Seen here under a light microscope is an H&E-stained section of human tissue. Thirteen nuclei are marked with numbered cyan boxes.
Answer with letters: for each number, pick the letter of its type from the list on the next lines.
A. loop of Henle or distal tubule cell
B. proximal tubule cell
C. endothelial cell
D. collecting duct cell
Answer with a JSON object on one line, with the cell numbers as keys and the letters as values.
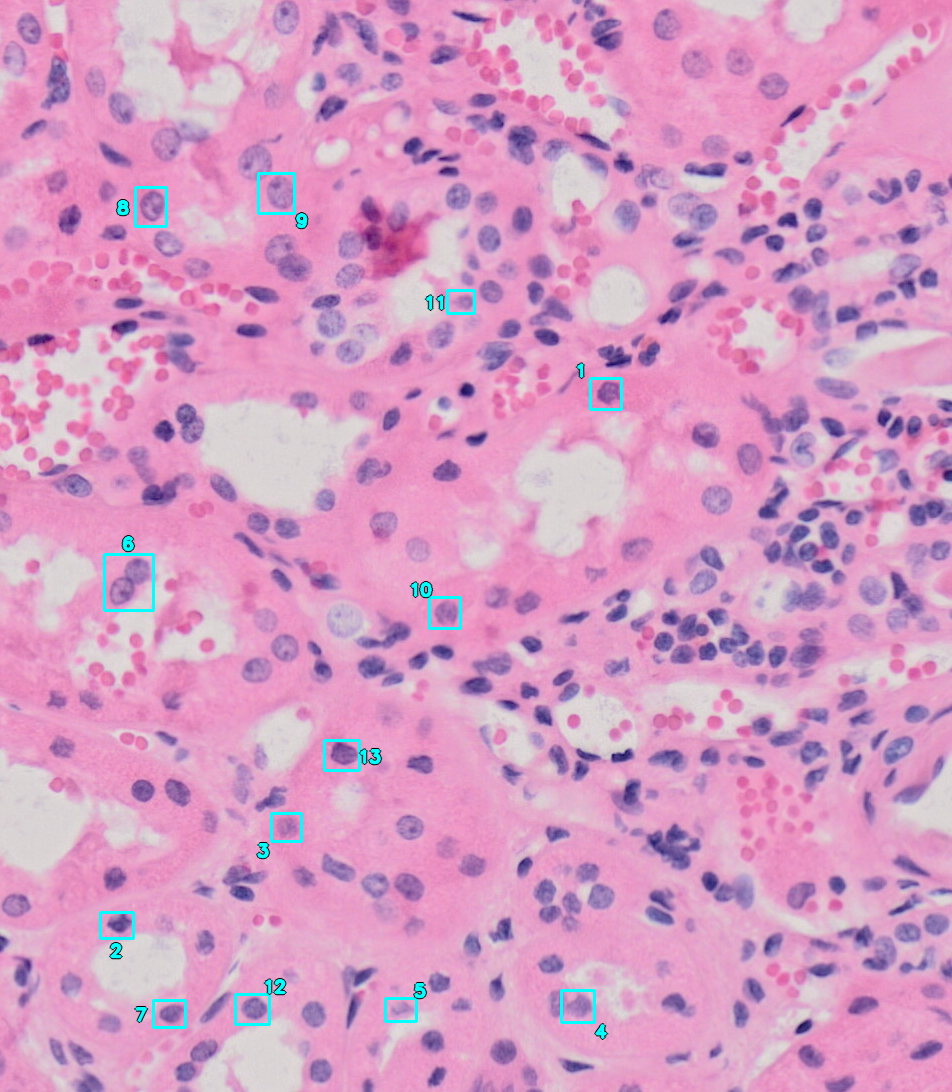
{"1": "B", "2": "A", "3": "B", "4": "A", "5": "A", "6": "B", "7": "A", "8": "B", "9": "B", "10": "B", "11": "D", "12": "A", "13": "B"}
